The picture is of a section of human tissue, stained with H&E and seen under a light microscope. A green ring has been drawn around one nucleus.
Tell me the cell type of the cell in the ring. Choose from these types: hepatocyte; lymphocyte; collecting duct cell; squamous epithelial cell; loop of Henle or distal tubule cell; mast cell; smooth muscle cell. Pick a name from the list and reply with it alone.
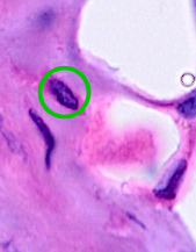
mast cell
